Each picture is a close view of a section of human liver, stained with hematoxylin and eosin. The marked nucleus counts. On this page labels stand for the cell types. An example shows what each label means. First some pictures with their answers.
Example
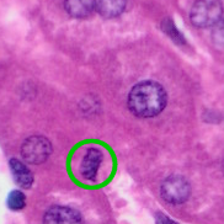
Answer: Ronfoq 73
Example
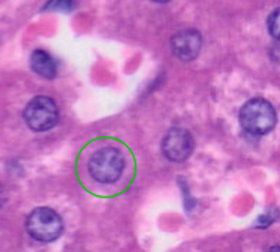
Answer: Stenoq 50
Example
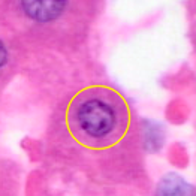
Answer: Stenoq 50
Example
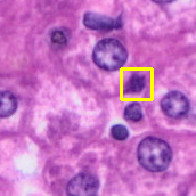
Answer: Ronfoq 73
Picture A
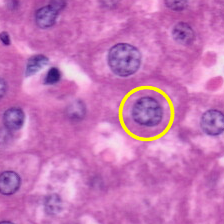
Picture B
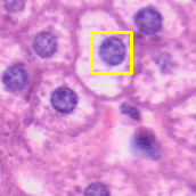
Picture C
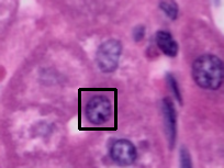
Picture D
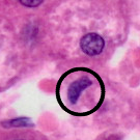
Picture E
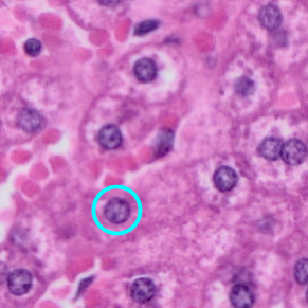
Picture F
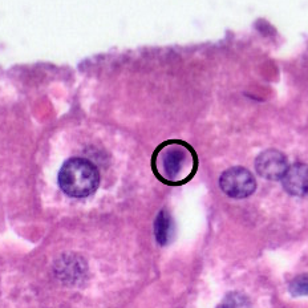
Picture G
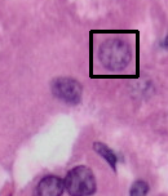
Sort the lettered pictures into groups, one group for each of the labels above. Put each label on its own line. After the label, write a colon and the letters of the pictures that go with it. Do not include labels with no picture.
Ronfoq 73: D, F
Stenoq 50: A, B, C, E, G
